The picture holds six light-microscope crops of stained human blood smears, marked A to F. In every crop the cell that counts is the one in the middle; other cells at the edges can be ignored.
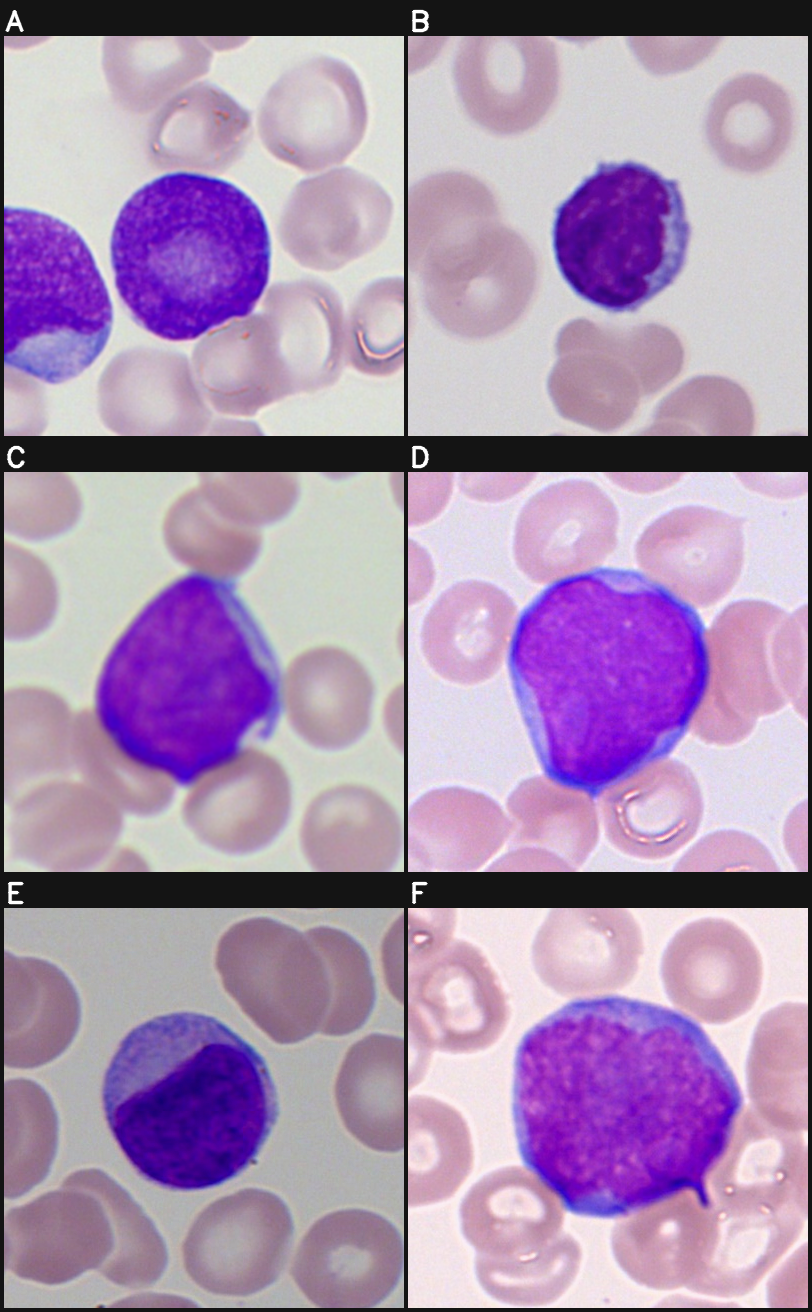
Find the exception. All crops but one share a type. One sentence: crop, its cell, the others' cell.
Crop B is the different one, a lymphocyte, while the rest are myeloblasts.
